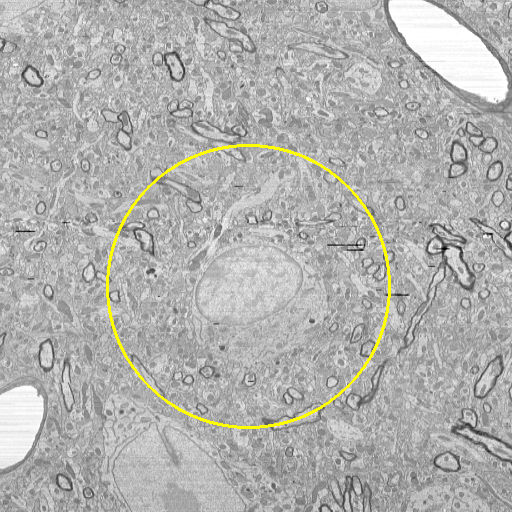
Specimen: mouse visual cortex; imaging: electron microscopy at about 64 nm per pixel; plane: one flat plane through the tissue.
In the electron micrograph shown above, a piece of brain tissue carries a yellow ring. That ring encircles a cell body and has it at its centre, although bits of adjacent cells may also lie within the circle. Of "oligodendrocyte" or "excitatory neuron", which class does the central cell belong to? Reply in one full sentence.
The cell body at the centre of the yellow ring belongs to an oligodendrocyte.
